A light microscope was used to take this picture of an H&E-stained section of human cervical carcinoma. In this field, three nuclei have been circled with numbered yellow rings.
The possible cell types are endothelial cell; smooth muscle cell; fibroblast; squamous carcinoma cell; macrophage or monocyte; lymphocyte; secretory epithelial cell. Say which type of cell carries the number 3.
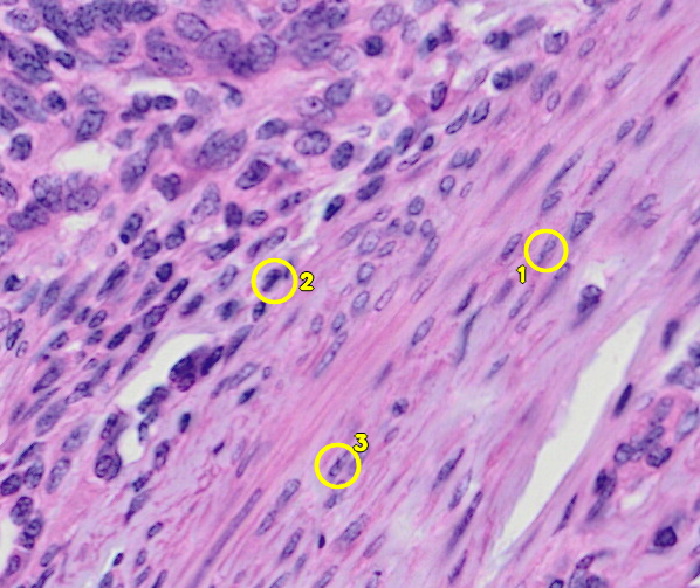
smooth muscle cell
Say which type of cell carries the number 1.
smooth muscle cell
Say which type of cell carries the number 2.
lymphocyte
